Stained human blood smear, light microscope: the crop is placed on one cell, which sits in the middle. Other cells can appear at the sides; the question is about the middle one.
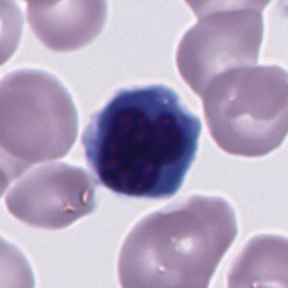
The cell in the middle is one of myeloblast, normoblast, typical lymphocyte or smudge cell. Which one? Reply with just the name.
normoblast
